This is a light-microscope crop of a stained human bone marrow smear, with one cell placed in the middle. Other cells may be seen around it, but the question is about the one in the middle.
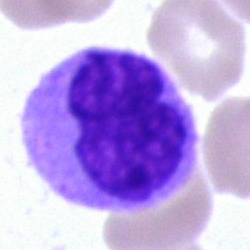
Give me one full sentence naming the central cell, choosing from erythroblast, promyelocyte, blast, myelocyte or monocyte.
Within this crop, a monocyte occupies the central position.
